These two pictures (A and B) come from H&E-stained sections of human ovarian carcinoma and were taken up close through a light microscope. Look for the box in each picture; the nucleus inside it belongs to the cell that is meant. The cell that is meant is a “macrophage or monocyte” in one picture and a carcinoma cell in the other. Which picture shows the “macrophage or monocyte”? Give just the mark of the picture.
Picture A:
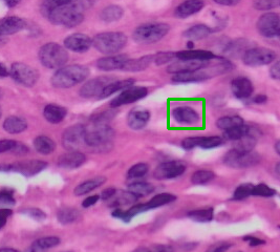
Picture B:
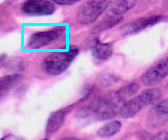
A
